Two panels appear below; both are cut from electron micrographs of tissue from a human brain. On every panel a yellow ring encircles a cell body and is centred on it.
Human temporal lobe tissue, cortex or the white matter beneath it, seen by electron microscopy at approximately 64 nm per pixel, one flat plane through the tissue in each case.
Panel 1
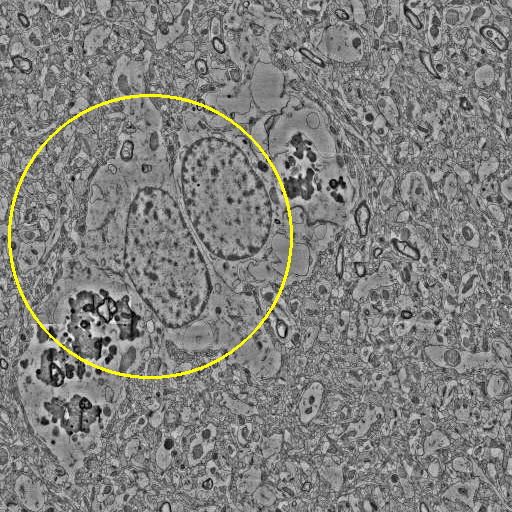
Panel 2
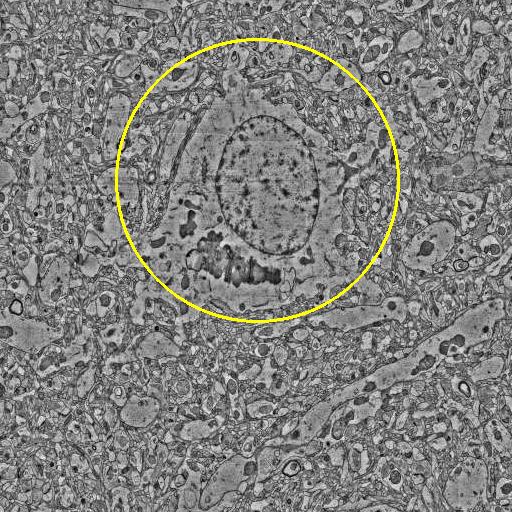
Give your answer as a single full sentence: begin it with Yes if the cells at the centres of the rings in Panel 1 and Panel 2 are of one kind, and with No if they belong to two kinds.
Yes, the cells in the middle of the rings in Panels 1 and 2 are of one kind.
